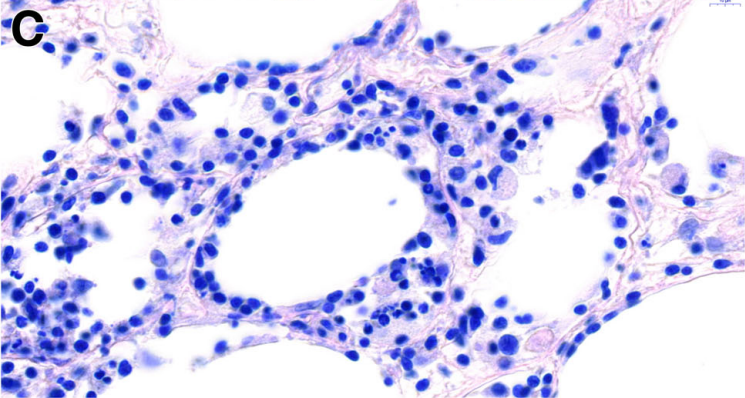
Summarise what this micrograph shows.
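Fat tissue densely infiltrated by lymphocytes, with an isolated adipocyte ringed by lymphoid cells. The adipocyte appears as a large empty oval vacuole in the centre; its thin border is lined by a close row of small, round to slightly irregular, deep blue nuclei, forming a collar around it. Further lymphoid cells with dark blue nuclei and scant cytoplasm crowd the surrounding septa between other fat vacuoles. Scattered among them lie a few larger cells with pale, greyish-blue, finely vacuolated cytoplasm, likely macrophages. Thin pink fibres of the connective tissue stroma run between the fat spaces.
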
